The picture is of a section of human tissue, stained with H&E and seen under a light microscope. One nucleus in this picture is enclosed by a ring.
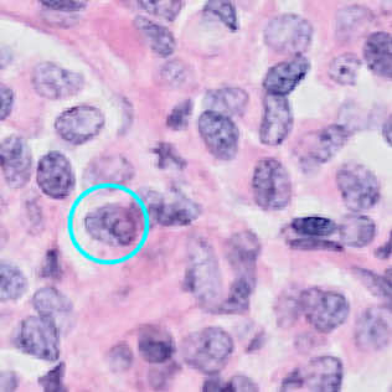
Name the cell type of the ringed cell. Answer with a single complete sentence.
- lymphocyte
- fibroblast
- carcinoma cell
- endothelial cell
So far as cell type goes, the ringed cell is a carcinoma cell.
